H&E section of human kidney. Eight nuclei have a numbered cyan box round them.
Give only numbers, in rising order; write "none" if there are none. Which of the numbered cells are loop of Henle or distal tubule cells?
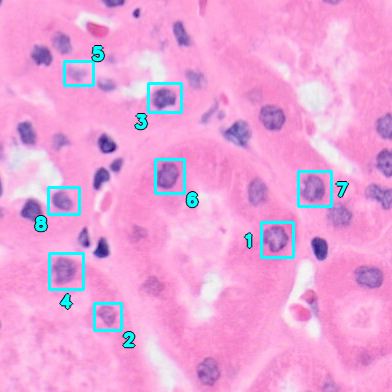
3, 5, 8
